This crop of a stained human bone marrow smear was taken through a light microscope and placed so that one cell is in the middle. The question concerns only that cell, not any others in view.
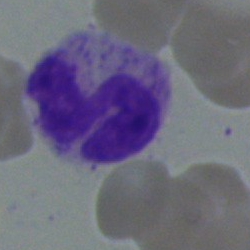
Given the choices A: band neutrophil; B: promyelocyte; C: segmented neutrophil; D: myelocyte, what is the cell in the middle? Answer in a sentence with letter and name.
The central cell is a band neutrophil, which makes option A the right answer.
